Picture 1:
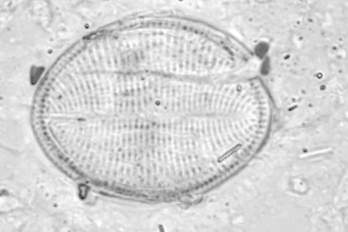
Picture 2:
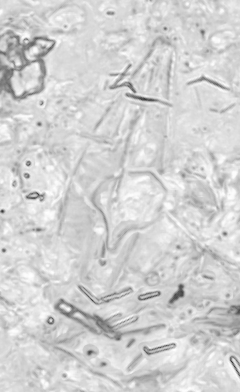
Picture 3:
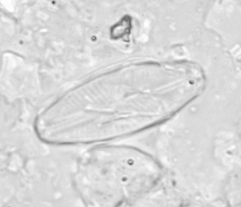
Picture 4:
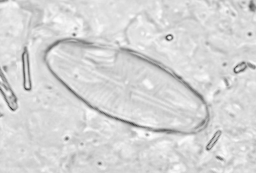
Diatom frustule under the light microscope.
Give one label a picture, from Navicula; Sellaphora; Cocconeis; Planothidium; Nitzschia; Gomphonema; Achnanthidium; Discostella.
1: Cocconeis
2: Navicula
3: Sellaphora
4: Sellaphora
